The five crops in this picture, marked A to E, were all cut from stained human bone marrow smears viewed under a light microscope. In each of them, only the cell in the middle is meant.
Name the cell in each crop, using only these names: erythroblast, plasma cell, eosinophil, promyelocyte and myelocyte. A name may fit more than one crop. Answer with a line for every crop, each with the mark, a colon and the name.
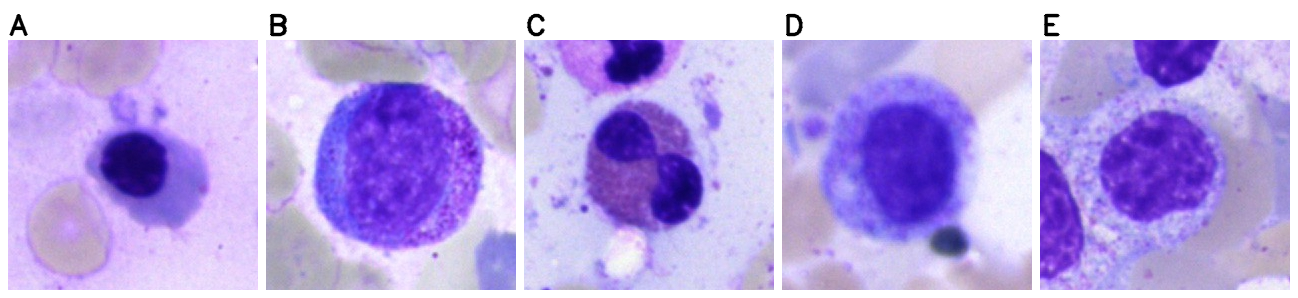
A: erythroblast
B: myelocyte
C: eosinophil
D: myelocyte
E: myelocyte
